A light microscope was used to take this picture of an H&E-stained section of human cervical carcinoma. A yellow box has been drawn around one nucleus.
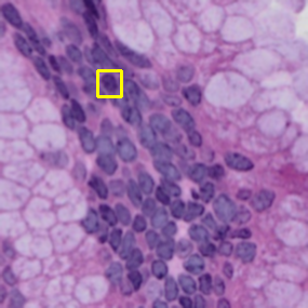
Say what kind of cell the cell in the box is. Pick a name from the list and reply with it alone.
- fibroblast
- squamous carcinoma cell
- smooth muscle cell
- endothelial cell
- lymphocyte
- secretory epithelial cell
secretory epithelial cell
